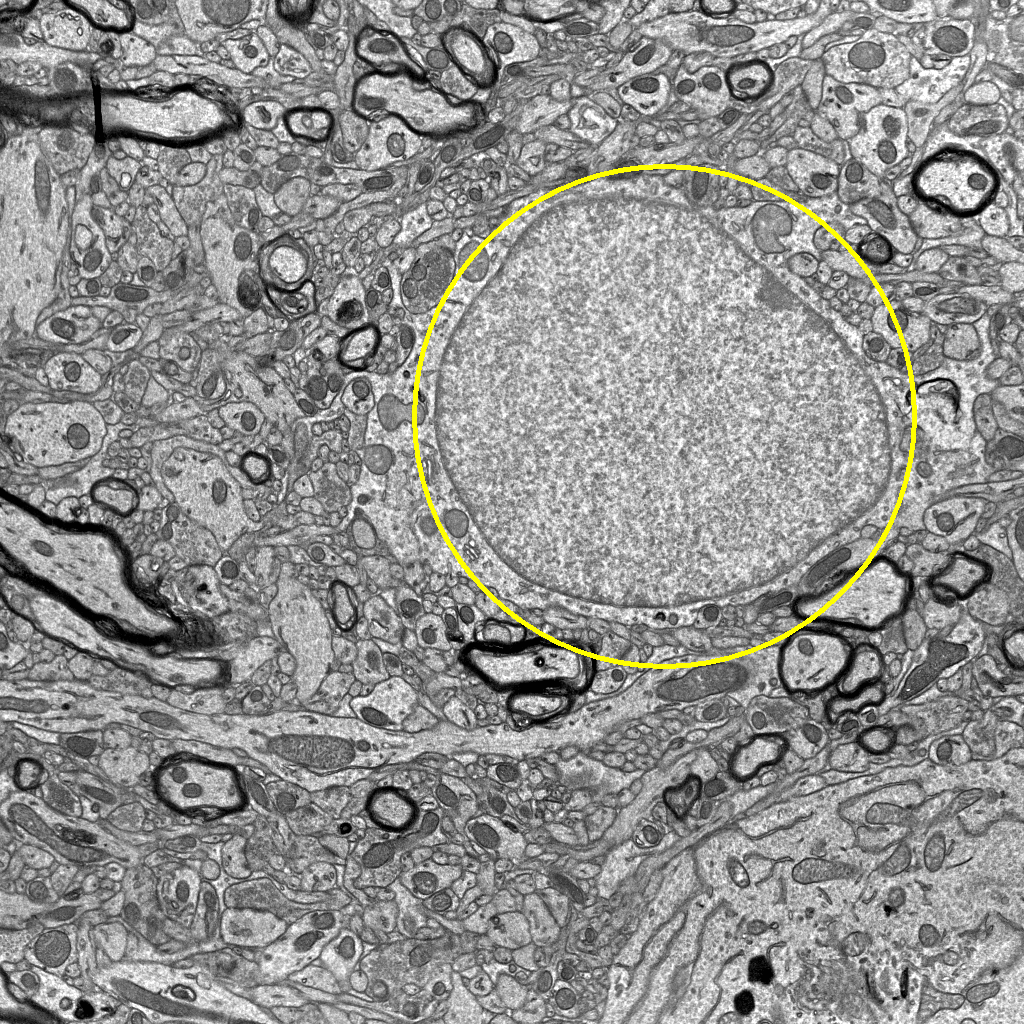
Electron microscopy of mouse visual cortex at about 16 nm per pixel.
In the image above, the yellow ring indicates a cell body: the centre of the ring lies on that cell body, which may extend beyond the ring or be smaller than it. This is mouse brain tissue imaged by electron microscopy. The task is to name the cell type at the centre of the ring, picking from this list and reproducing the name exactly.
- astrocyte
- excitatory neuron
astrocyte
